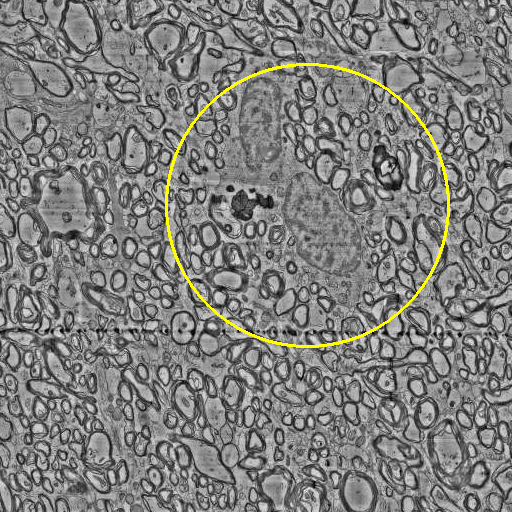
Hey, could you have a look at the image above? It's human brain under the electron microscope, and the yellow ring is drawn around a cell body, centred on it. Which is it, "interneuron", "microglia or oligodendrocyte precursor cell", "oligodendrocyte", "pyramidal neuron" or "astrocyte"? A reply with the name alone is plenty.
oligodendrocyte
